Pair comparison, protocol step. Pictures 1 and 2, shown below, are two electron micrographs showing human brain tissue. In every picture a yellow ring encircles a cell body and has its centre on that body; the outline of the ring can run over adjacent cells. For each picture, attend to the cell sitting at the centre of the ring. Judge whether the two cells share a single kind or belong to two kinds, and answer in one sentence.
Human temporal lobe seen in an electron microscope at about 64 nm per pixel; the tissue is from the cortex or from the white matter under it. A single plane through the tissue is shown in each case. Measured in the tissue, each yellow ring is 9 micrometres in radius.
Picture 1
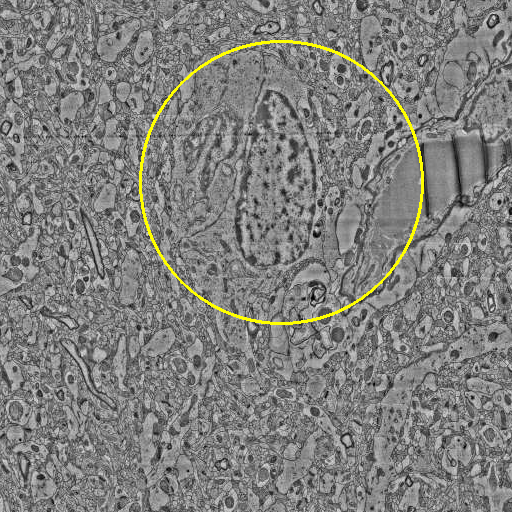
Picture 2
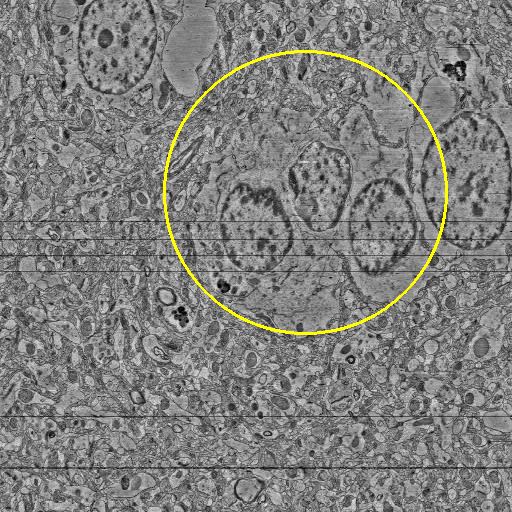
The two cells at the ring centres in Picture 1 and Picture 2 share a single kind.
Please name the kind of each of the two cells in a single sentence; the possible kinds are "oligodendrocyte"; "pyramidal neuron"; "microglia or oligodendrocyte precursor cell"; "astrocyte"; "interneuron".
The second cell is a microglial cell or oligodendrocyte precursor cell, just as the first is.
